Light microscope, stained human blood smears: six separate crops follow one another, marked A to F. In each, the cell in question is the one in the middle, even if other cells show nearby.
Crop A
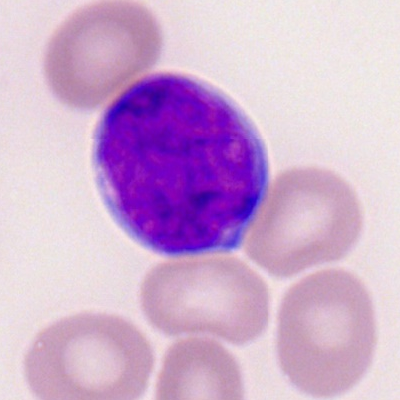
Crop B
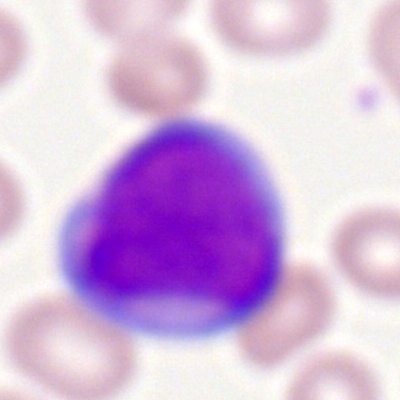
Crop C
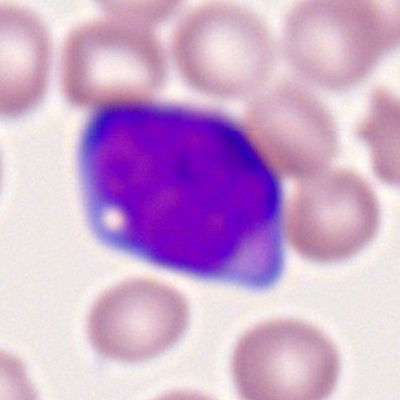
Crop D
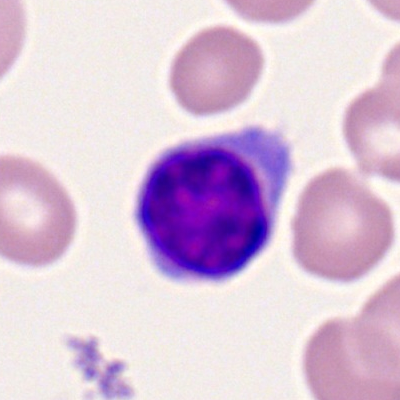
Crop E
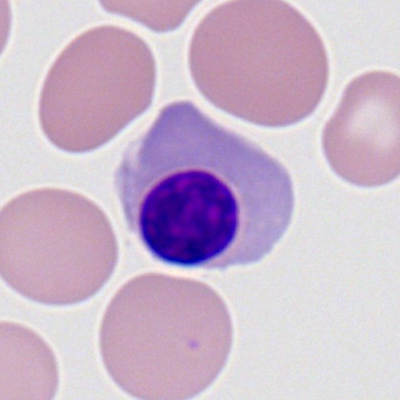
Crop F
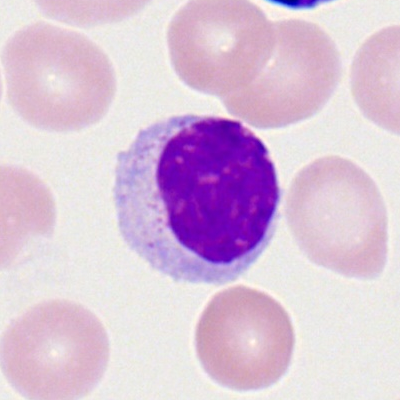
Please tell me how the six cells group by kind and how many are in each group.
myeloblast: 3
lymphocyte: 2
erythroblast: 1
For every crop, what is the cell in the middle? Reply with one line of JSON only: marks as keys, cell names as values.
{"A": "myeloblast", "B": "myeloblast", "C": "myeloblast", "D": "lymphocyte", "E": "erythroblast", "F": "lymphocyte"}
